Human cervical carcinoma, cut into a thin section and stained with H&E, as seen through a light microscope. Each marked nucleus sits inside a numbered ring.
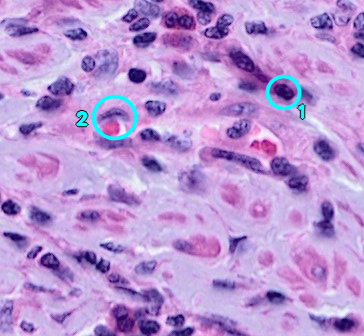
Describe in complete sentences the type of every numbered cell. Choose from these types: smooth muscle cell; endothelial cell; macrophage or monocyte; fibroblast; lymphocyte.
Cell 1 is a lymphocyte. Cell 2 is an endothelial cell.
